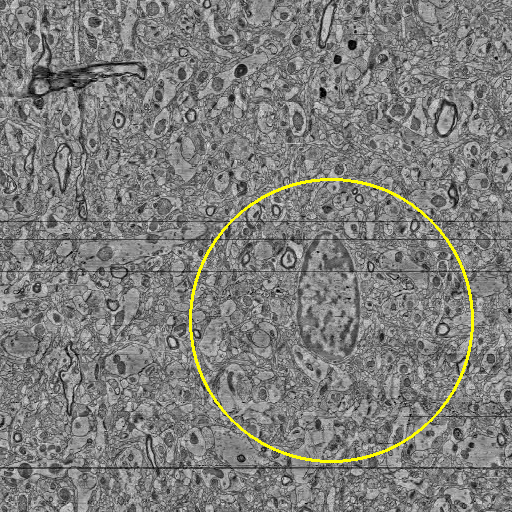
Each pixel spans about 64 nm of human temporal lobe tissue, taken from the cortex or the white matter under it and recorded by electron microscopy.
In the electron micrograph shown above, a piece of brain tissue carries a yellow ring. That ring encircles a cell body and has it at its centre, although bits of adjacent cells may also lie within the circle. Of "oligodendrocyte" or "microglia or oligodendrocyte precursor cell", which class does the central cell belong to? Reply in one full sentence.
The cell body at the centre of the yellow ring belongs to a microglial cell or oligodendrocyte precursor cell.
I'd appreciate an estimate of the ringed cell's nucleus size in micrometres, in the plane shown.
In this plane the nucleus is about 8 micrometres by 4.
